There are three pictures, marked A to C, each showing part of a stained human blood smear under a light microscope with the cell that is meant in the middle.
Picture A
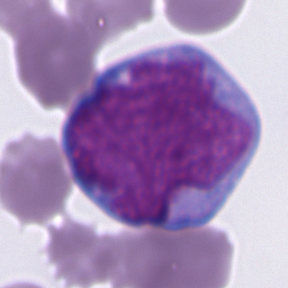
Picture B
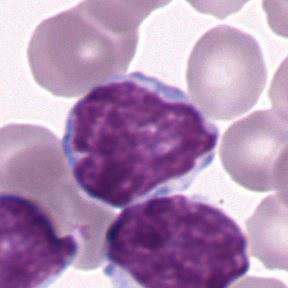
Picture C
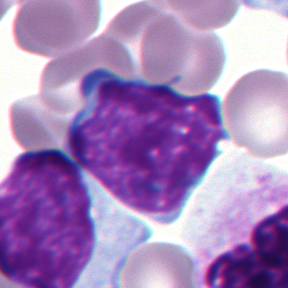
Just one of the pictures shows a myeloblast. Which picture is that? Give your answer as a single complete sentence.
Picture A is the one that shows the myeloblast.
